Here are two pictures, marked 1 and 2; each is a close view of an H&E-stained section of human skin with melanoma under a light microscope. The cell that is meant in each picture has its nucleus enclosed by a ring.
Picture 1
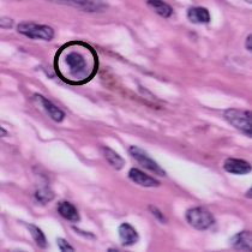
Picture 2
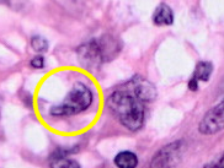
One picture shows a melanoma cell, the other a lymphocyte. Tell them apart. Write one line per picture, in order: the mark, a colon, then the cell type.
1: lymphocyte
2: melanoma cell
